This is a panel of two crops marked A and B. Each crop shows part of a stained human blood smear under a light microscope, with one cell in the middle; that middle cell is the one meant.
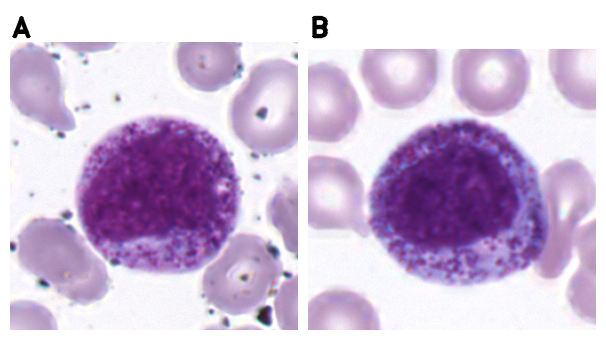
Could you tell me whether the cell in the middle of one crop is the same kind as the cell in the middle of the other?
yes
